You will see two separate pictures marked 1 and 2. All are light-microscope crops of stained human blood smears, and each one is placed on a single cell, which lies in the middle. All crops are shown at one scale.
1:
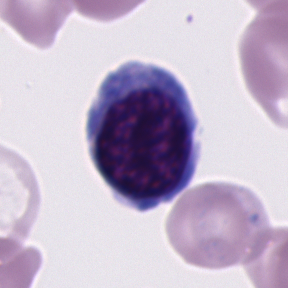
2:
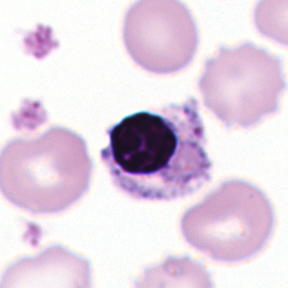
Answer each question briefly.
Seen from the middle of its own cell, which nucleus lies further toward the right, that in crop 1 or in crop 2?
1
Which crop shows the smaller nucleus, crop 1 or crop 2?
2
